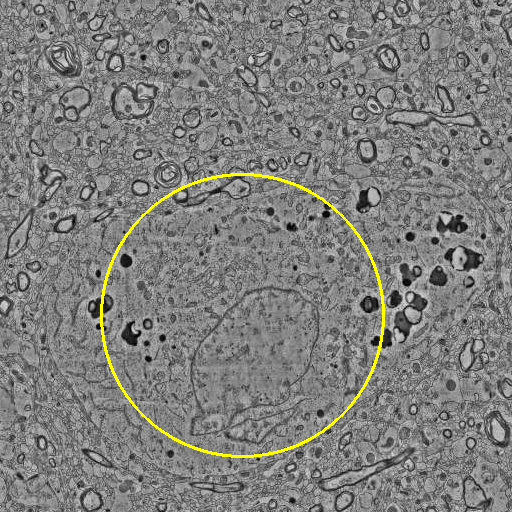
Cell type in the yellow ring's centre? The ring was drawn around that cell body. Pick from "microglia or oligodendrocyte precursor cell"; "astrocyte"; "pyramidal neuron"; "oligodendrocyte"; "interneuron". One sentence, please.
The ringed cell body is that of a pyramidal neuron.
